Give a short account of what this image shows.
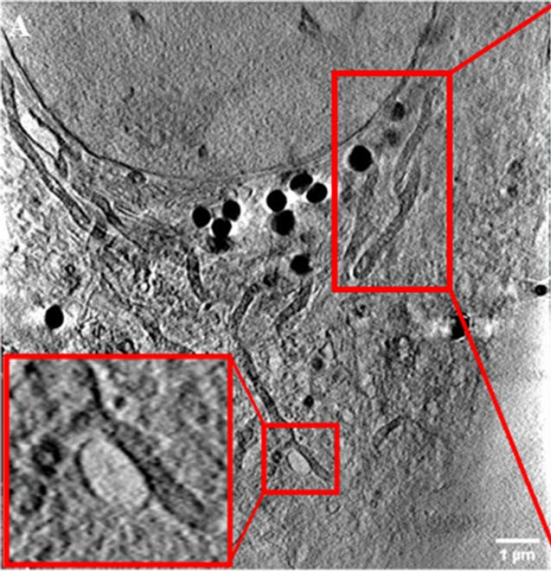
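A large round nucleus fills the upper part of the field, outlined by a thin curved envelope. Below it lies a cluster of very dark, round, dense bodies. Elongated tubular mitochondria with dark borders wind through the cytoplasm around this cluster. The enlarged lower inset shows a pale oval vesicle lying directly against one of these mitochondria.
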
